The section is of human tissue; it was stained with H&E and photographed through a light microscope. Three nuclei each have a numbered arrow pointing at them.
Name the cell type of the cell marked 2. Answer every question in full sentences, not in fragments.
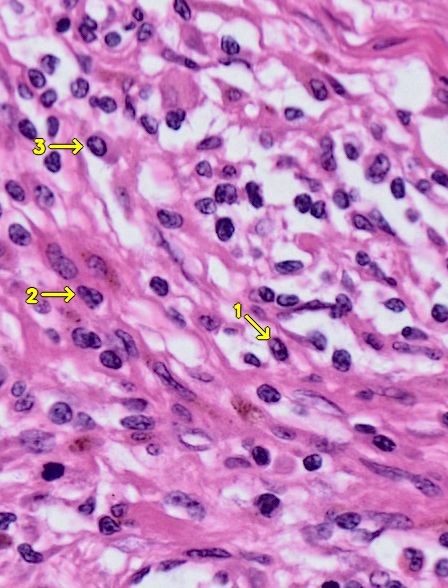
The cell numbered 2 has been identified as a lymphocyte.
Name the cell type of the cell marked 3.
The cell that goes by number 3 is a plasma cell.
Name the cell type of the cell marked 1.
The cell given label 1 is a plasma cell.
